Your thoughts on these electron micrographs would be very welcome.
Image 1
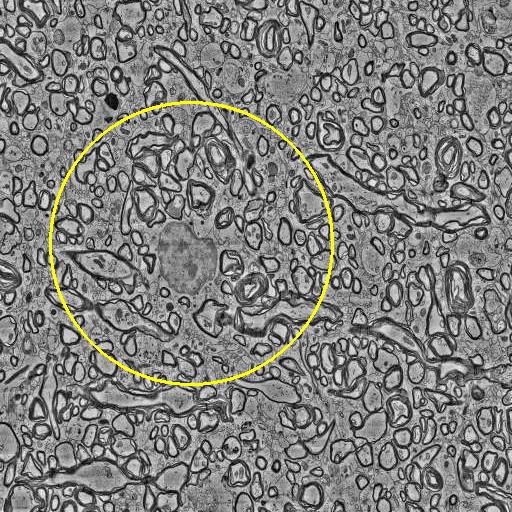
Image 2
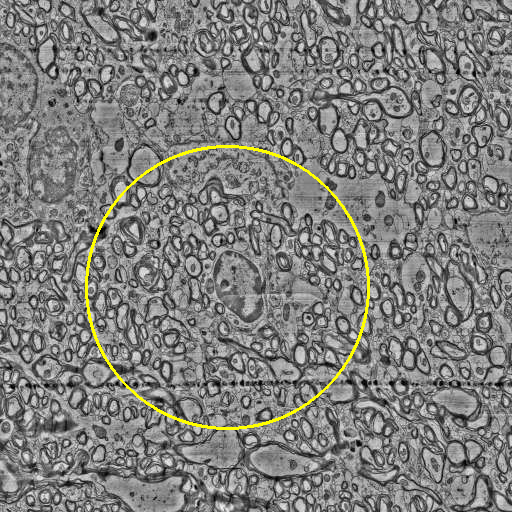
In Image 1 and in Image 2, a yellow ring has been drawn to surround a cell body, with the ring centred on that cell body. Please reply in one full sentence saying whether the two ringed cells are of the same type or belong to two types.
The ringed cells in Image 1 and Image 2 belong to two types.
